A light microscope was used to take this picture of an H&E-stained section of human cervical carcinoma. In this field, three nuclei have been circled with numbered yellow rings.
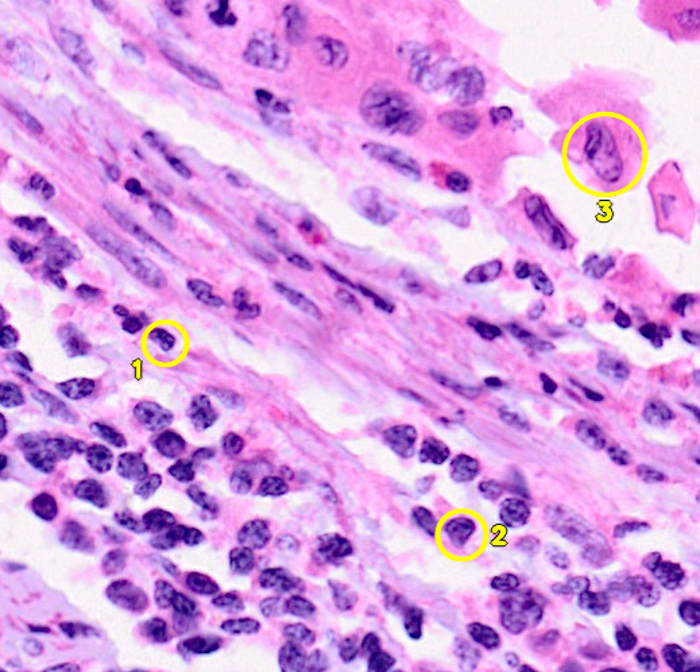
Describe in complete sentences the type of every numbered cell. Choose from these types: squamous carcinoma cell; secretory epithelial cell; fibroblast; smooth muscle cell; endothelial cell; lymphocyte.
Cell 1 is a lymphocyte, cell 2 is a lymphocyte and cell 3 is a squamous carcinoma cell.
